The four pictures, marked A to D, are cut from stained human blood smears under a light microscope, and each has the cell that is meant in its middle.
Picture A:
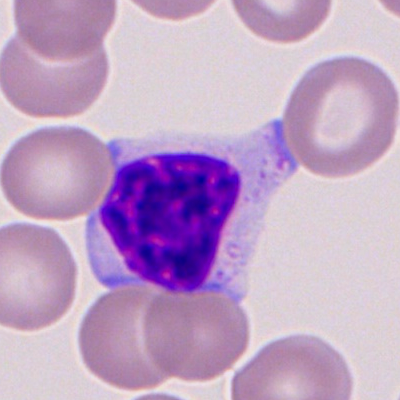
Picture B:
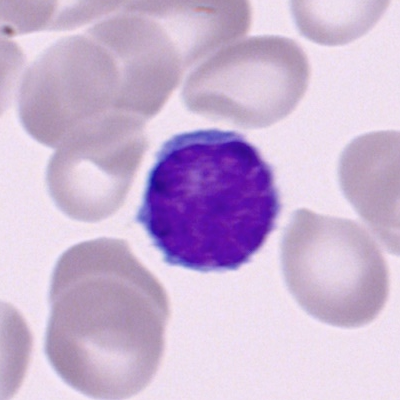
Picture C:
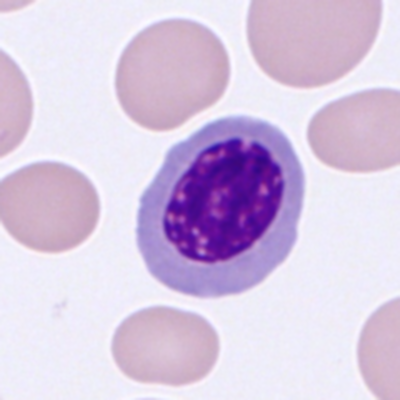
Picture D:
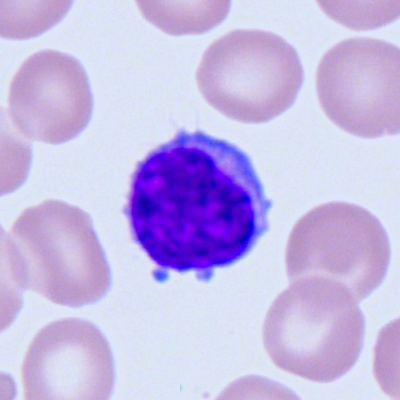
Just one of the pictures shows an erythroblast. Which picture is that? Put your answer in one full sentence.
The erythroblast is the one in picture C.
